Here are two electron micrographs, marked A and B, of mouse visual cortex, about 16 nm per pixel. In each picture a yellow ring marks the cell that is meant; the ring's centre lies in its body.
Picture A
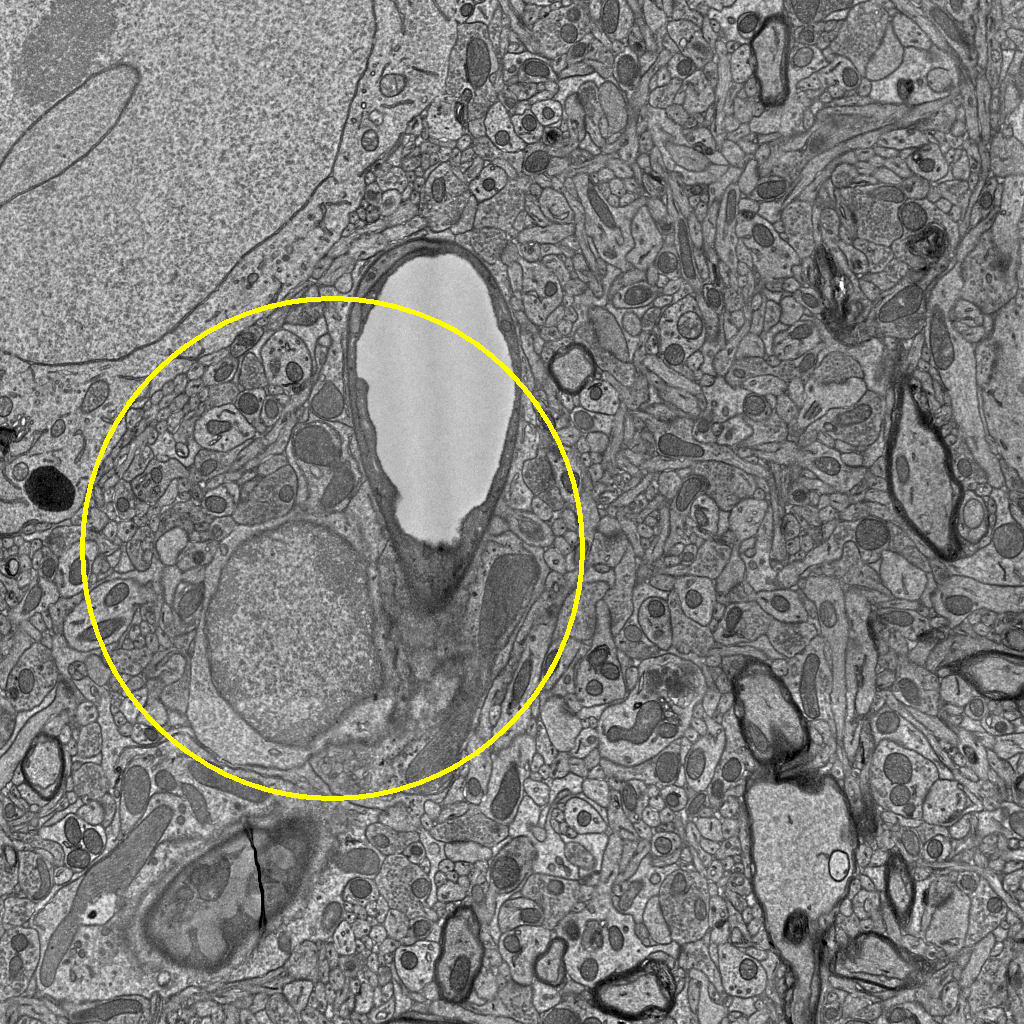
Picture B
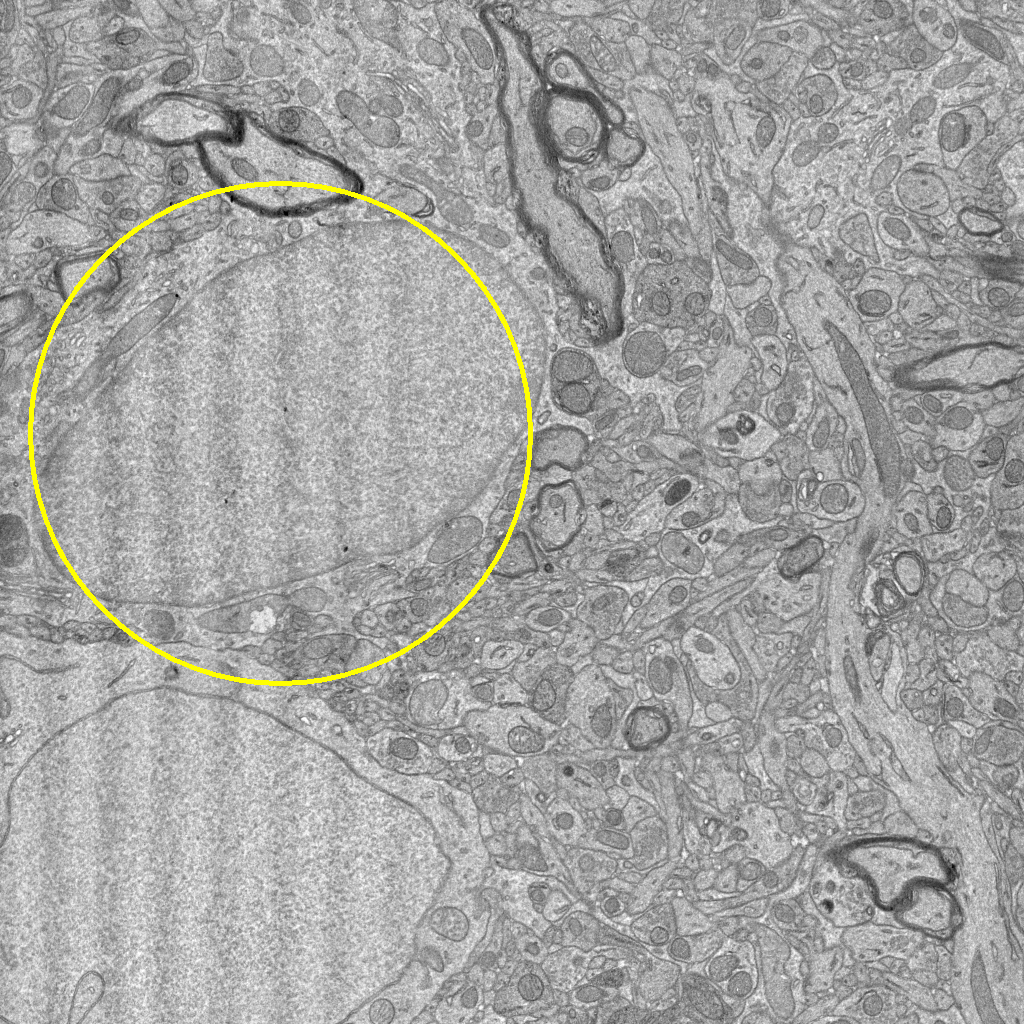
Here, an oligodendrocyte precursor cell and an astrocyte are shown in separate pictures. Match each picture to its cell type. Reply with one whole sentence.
In picture A the cell is an oligodendrocyte precursor cell; in picture B, an astrocyte.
